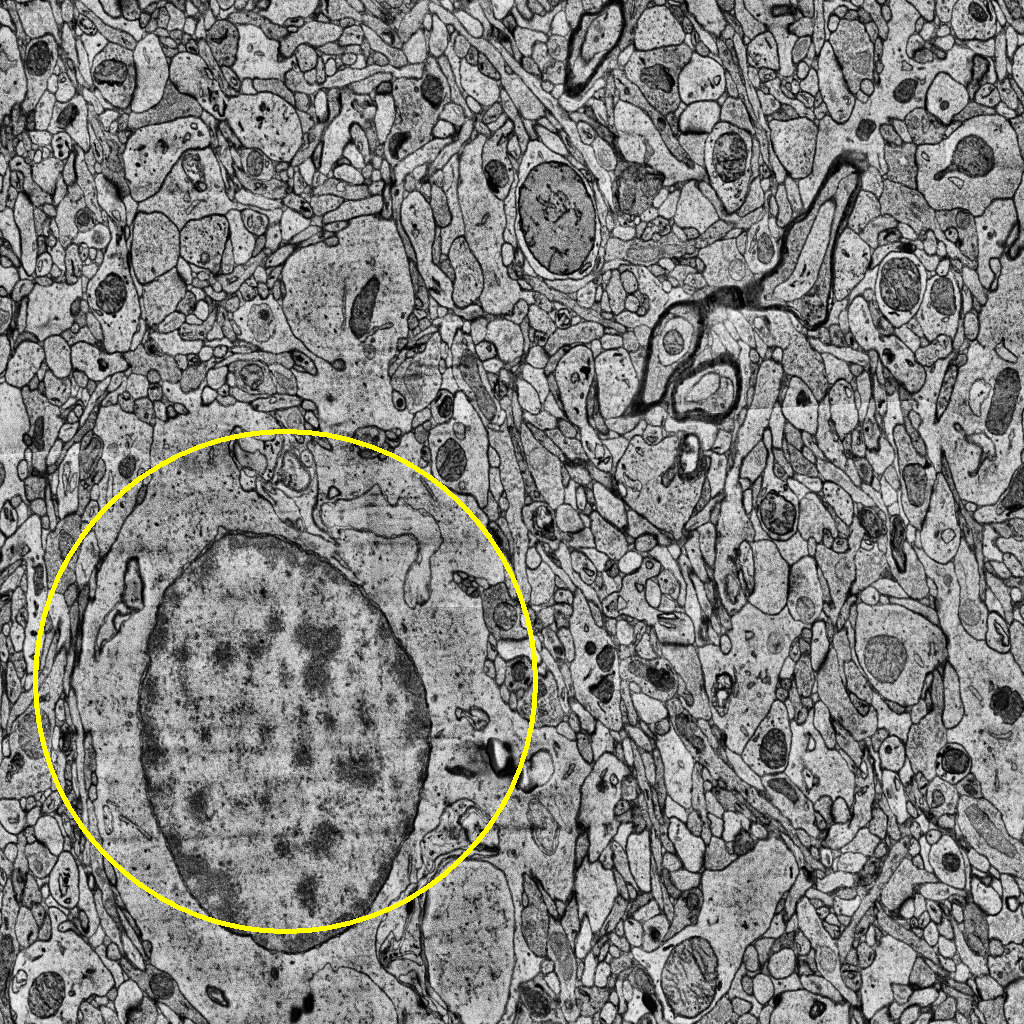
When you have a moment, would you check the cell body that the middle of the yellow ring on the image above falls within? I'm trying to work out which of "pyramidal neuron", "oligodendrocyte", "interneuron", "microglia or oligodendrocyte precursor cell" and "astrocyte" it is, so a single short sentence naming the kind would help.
This cell body belongs to an astrocyte.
